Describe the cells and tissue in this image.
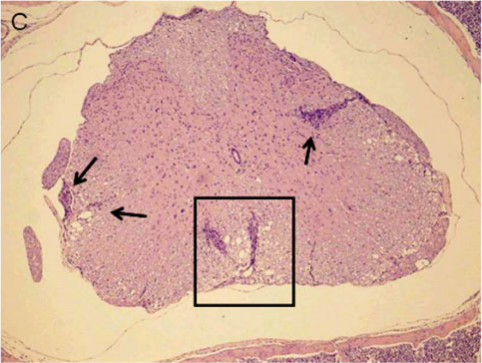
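This low-power transverse section of spinal cord shows the whole cord stained pink, lying within a clear space bounded by thin membranes. Several small dark purple foci of densely packed nuclei sit in the thin surface covering and around vessels in the outer white matter. Near the lower midline, two elongated purple clusters run inward from the surface. The outer white matter, especially in the lower part, looks pale and spongy with many small clear vacuoles. The central canal appears as a small ring near the middle.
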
